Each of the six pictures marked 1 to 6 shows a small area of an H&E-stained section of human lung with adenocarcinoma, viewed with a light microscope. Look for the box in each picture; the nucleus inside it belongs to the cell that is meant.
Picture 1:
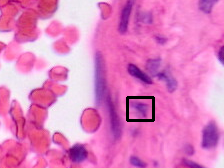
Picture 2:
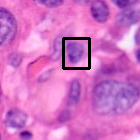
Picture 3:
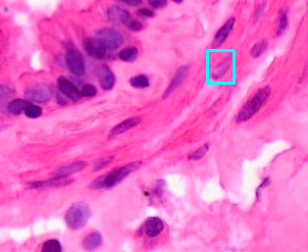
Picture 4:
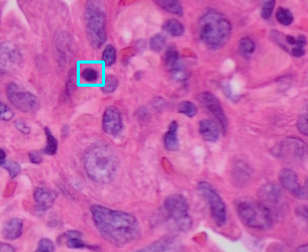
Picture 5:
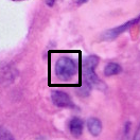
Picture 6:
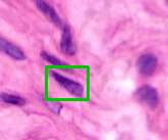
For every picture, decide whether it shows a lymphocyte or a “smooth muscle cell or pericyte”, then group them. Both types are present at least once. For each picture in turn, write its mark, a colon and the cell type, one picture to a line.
1: smooth muscle cell or pericyte
2: lymphocyte
3: smooth muscle cell or pericyte
4: lymphocyte
5: lymphocyte
6: smooth muscle cell or pericyte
